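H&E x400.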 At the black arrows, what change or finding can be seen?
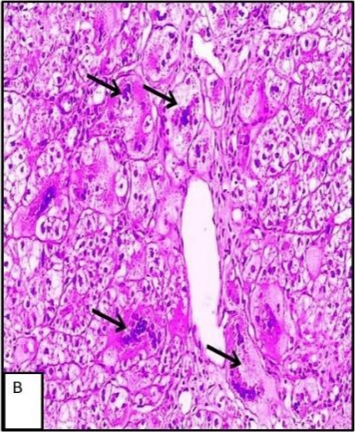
Giant cell transformation.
